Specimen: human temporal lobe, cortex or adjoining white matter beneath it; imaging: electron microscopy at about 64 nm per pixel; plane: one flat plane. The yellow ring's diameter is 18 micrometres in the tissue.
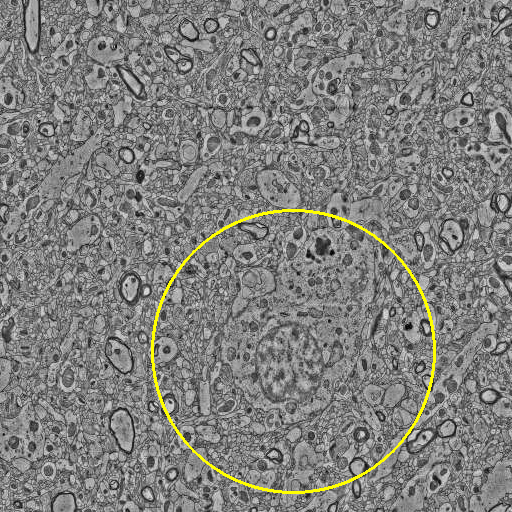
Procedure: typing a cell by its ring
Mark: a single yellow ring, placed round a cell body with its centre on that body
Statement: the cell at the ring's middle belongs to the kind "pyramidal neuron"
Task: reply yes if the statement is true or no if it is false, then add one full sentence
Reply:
No, this is false: the cell at the ring's centre in the picture belongs to some other kind.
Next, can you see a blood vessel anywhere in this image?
No, there is no blood vessel.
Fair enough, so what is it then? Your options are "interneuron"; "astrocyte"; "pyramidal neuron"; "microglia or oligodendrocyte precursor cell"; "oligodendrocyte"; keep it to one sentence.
The cell shown in the ring is an interneuron.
